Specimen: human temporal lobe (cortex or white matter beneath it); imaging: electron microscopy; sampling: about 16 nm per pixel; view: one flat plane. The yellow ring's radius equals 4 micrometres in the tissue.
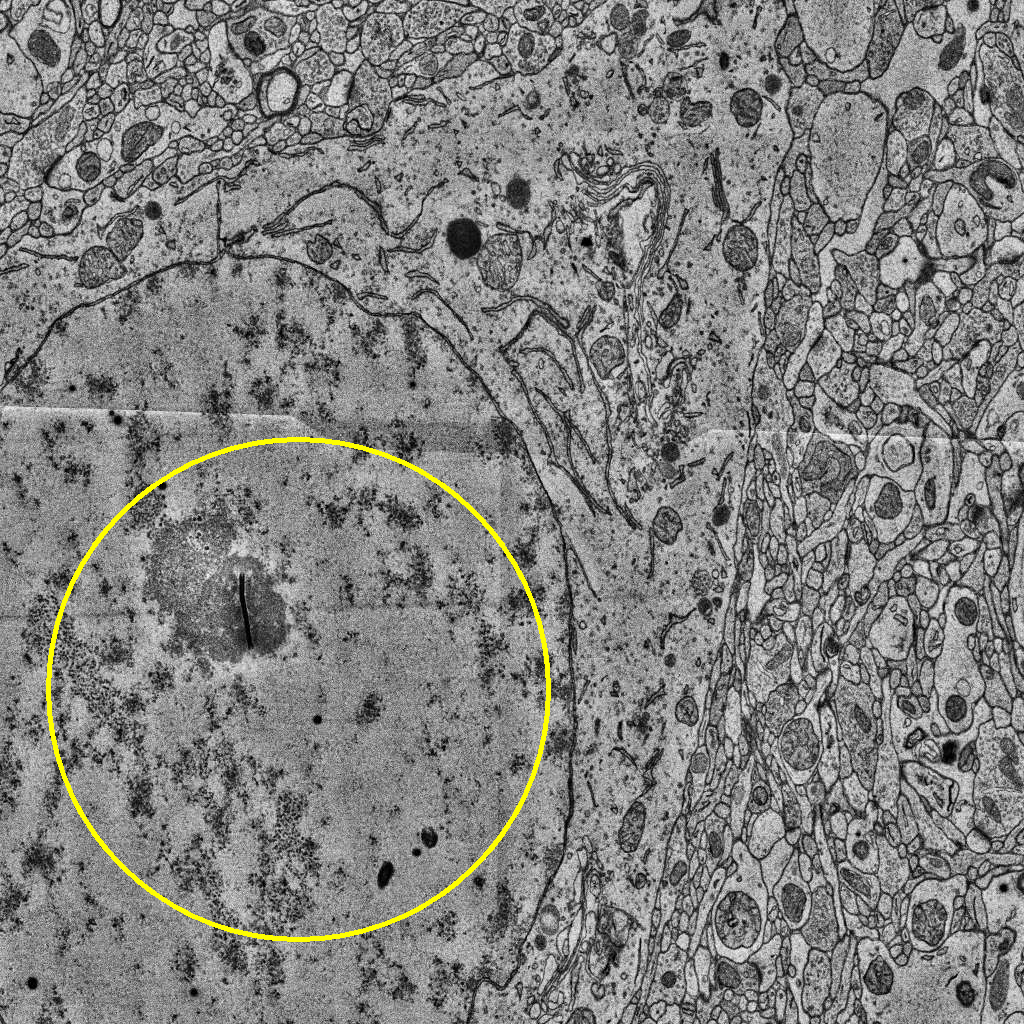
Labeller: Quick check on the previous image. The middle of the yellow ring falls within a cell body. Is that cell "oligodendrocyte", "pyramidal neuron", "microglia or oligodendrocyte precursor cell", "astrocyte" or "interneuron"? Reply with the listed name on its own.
pyramidal neuron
